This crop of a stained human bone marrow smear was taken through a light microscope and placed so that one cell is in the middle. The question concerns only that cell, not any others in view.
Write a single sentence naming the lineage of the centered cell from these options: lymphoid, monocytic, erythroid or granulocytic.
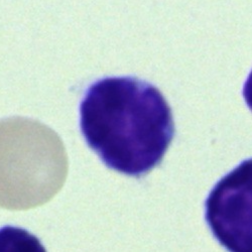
Recorded as lymphoid in lineage is the cell in the middle of the crop.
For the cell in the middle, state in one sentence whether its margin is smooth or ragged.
An irregular outline, ragged or marked by projections, surrounds this cell.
